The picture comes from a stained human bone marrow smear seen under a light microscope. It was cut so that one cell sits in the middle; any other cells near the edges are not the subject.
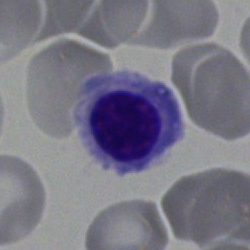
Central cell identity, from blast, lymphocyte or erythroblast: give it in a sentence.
Among the cells in view, the one in the middle is an erythroblast.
